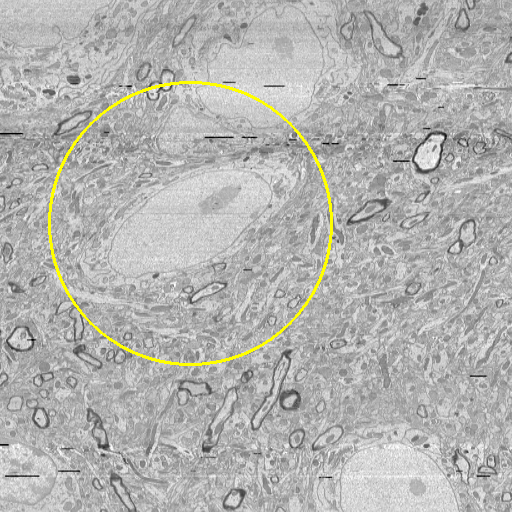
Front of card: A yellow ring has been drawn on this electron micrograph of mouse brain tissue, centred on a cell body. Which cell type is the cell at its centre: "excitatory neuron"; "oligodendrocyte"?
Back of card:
excitatory neuron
